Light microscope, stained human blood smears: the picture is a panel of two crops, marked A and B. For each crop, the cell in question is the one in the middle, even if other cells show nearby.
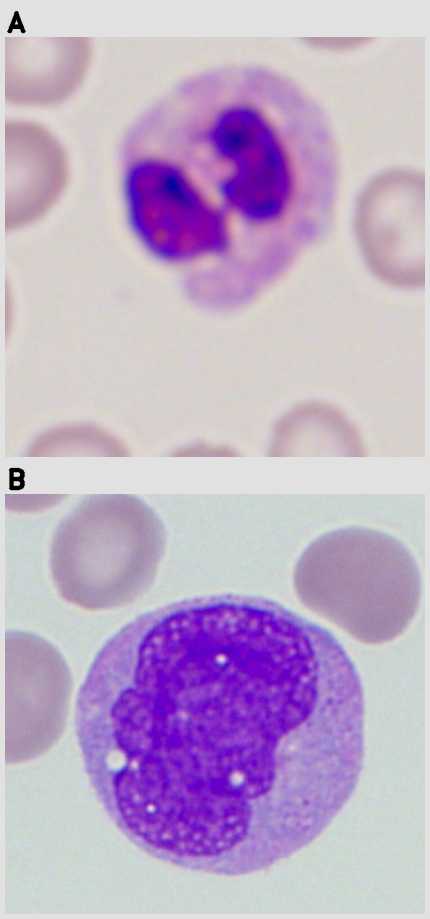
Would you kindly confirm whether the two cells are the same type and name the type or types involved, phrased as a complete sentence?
No, the cells are a segmented neutrophil in crop A and a monocyte in crop B.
